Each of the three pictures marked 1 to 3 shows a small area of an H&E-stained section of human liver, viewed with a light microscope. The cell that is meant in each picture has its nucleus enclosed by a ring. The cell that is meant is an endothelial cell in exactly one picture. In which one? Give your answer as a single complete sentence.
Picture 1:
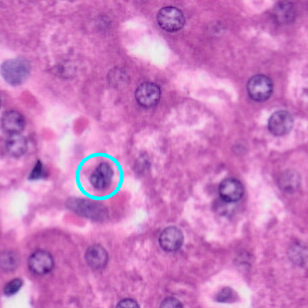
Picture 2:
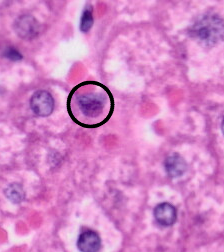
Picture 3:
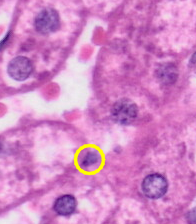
Picture 2 is the one that shows the endothelial cell.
